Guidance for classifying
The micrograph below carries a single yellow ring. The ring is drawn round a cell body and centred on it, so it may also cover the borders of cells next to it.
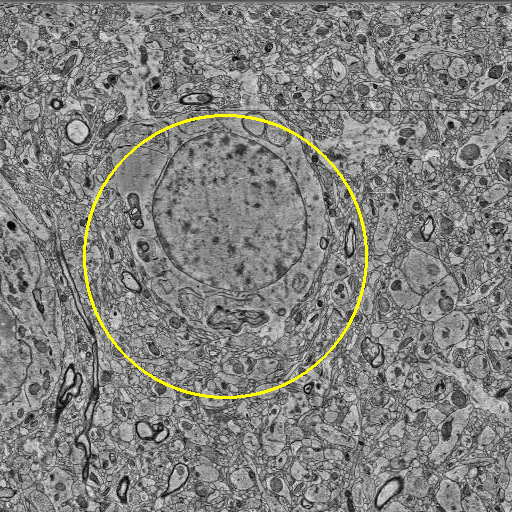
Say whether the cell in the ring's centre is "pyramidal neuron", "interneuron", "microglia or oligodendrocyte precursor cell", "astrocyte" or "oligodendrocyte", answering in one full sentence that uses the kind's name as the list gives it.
Within the yellow ring, an astrocyte is the cell whose body sits at the centre.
